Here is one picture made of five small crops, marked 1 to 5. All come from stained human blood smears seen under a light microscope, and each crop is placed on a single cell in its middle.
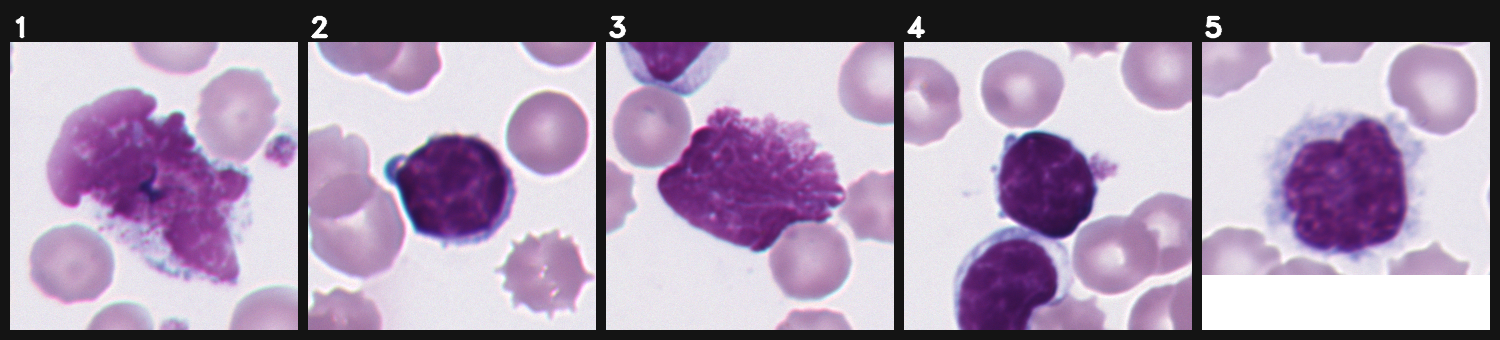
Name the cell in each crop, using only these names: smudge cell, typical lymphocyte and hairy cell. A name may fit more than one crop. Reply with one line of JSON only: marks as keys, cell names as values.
{"1": "smudge cell", "2": "typical lymphocyte", "3": "smudge cell", "4": "typical lymphocyte", "5": "hairy cell"}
